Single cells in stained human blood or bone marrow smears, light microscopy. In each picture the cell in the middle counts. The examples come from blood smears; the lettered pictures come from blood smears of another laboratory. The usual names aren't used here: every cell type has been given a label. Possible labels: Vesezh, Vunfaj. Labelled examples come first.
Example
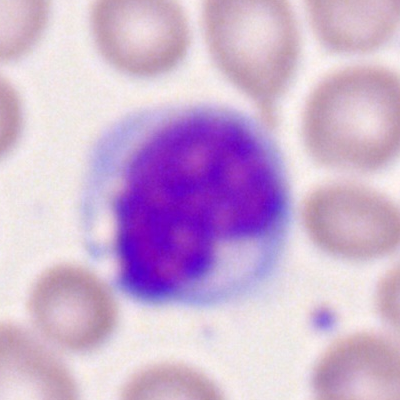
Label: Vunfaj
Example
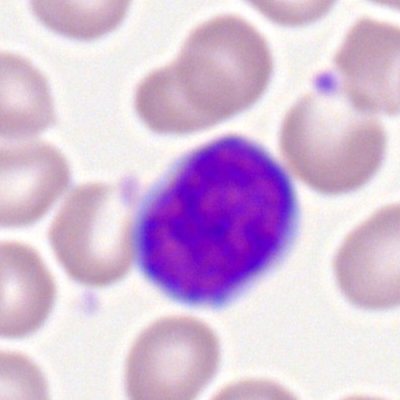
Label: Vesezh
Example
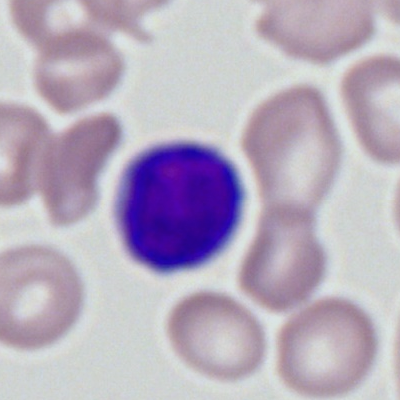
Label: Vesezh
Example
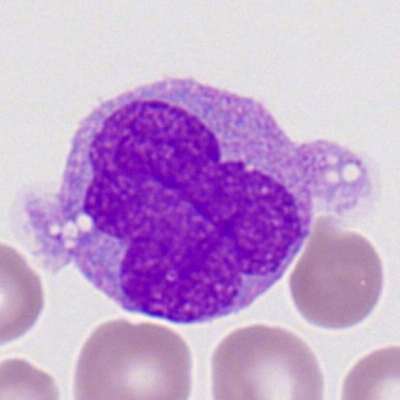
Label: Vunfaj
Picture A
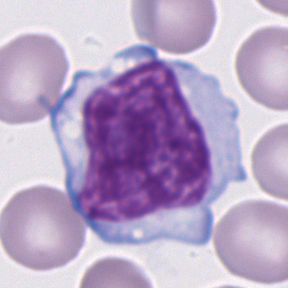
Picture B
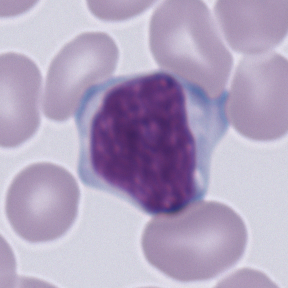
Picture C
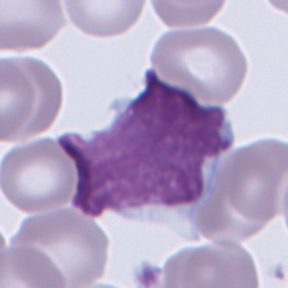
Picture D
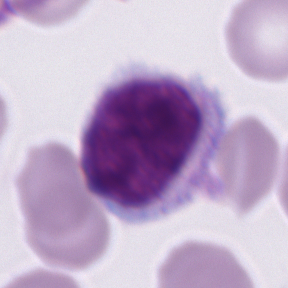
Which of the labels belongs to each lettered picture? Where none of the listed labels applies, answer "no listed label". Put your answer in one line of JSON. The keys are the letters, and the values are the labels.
{"A": "no listed label", "B": "Vesezh", "C": "Vesezh", "D": "Vesezh"}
